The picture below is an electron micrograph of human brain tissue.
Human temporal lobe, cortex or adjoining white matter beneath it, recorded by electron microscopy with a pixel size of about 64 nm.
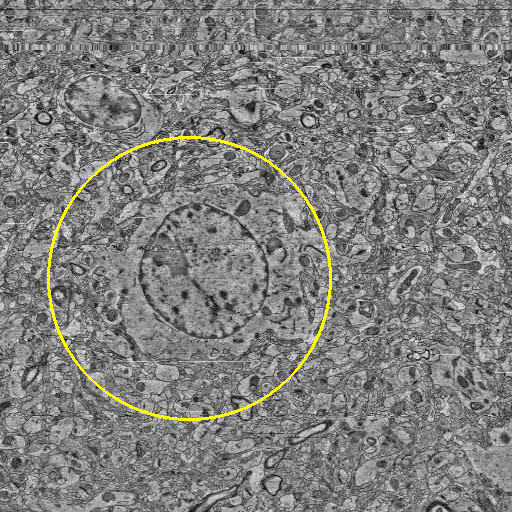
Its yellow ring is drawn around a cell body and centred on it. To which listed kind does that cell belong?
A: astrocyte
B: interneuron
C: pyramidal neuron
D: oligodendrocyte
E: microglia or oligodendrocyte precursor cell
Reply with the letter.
A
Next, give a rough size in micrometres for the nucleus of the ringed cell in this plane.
About 9 micrometres across, as seen in this plane.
